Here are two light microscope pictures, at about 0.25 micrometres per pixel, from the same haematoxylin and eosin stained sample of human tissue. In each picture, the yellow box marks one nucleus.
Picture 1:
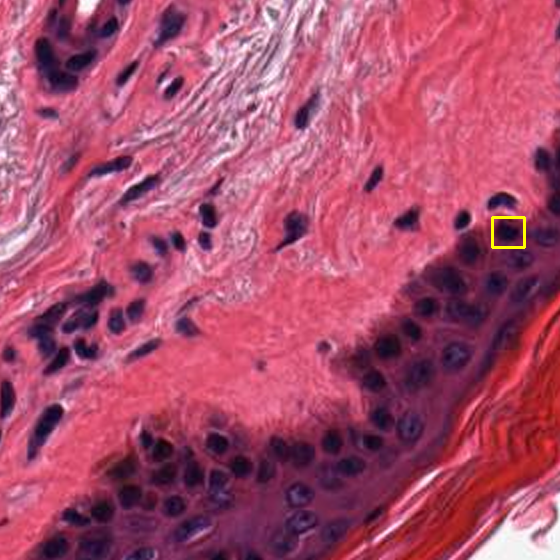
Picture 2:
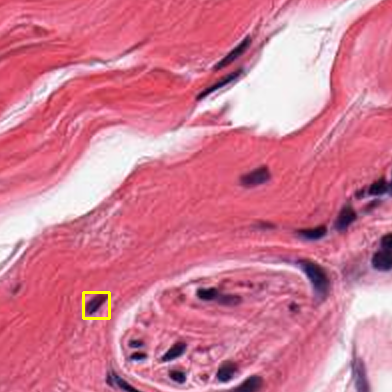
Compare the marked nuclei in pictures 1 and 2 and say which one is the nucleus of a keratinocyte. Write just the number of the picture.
1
